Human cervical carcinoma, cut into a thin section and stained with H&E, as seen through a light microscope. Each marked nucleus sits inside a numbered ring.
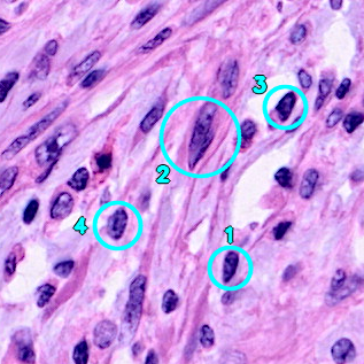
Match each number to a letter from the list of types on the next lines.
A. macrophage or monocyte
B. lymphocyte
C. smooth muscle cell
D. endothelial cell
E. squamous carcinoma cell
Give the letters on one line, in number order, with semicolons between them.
B; D; B; B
